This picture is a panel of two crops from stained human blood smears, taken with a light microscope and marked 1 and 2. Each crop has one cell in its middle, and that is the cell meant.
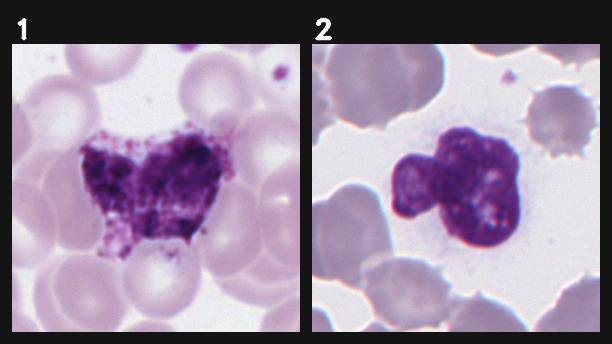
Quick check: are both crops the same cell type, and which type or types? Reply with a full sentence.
No, crop 1 shows a basophil, whereas in crop 2 the cell is a neutrophil.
